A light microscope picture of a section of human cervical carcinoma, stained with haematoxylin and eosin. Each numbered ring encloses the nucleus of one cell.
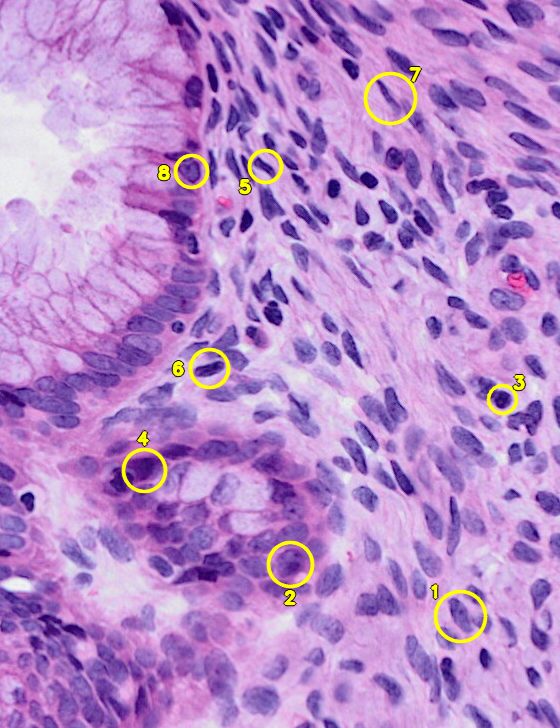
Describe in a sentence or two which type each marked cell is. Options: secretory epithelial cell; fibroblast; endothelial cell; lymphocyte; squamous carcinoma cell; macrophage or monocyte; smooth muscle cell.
Cell 1 is a fibroblast, cell 2 is a secretory epithelial cell, cell 3 is a lymphocyte, cell 4 is a secretory epithelial cell, cell 5 is a fibroblast, cell 6 is a lymphocyte, cell 7 is a fibroblast and cell 8 is a secretory epithelial cell.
